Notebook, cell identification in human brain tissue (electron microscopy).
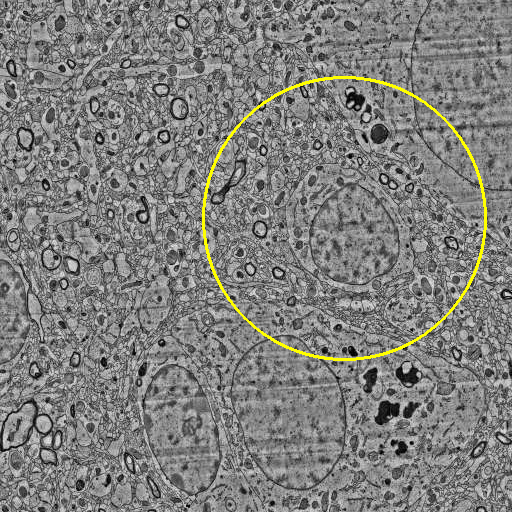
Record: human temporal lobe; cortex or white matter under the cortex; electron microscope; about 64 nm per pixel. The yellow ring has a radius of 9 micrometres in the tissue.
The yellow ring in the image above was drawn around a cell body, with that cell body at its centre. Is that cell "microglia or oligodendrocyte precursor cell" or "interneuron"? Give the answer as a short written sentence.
The cell in the ring is an interneuron.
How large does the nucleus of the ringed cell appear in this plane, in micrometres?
Approximately 6 micrometres across in this plane.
